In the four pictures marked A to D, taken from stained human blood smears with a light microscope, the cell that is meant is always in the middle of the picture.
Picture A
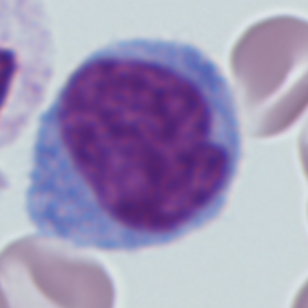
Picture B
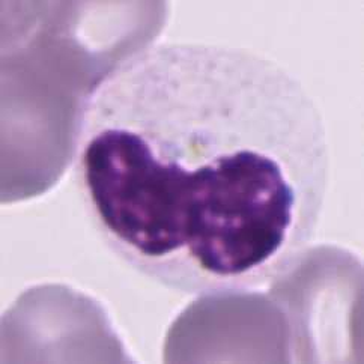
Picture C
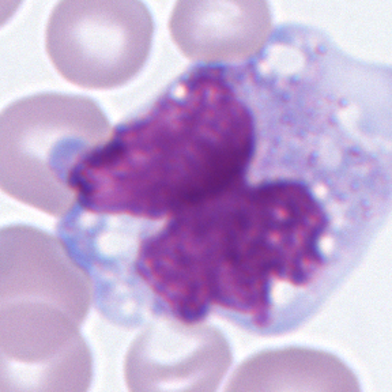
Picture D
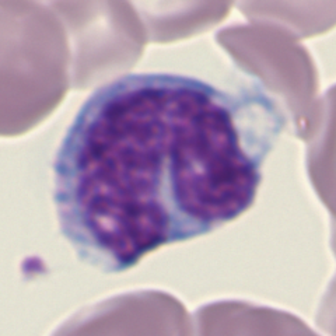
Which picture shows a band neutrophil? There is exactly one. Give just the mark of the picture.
B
